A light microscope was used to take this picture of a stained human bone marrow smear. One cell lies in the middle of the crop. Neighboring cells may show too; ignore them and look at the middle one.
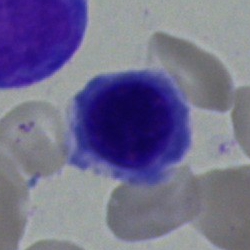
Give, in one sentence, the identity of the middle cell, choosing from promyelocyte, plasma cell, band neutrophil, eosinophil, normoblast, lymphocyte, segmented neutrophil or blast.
By type, the central cell of the crop is a normoblast.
